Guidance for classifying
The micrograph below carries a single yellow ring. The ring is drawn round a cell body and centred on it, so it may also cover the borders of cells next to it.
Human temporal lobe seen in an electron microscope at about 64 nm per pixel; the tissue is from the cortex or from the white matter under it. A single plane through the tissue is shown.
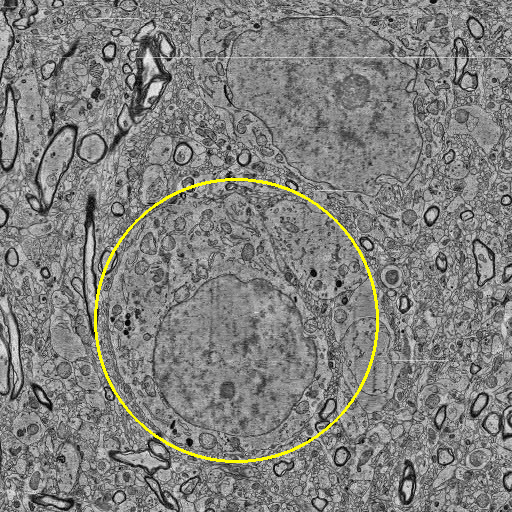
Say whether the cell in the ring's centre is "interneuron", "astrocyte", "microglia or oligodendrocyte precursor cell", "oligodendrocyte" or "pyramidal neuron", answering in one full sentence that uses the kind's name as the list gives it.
Within the yellow ring, an interneuron is the cell whose body sits at the centre.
